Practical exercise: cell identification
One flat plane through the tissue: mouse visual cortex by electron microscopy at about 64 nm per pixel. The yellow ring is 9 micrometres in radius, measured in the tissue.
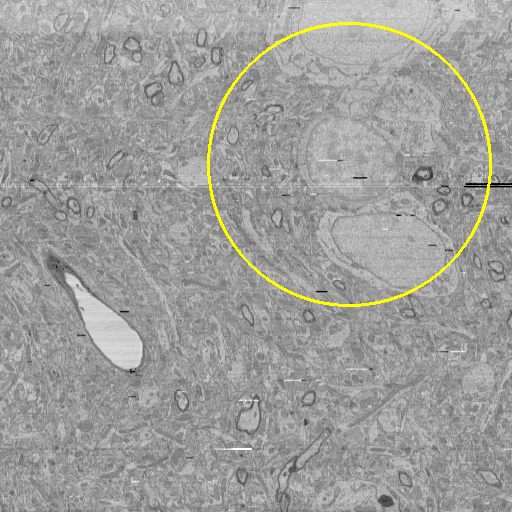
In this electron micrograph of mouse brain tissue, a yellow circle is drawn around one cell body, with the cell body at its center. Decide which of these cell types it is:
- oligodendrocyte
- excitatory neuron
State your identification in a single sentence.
The ringed cell is an oligodendrocyte.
